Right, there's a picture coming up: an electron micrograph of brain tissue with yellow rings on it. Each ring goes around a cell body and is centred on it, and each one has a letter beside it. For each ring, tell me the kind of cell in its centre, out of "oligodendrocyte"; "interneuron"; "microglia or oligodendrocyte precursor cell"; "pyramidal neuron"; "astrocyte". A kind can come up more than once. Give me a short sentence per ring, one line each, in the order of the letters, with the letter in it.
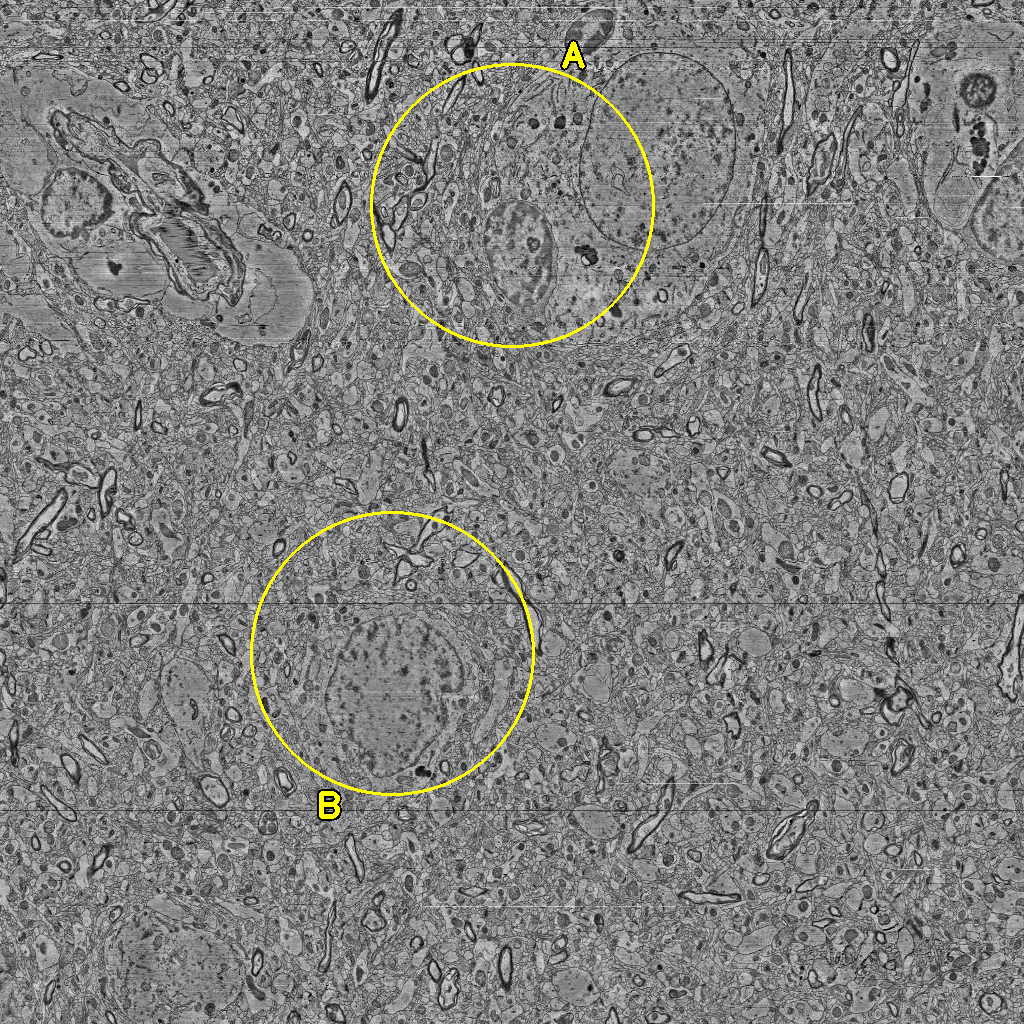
That's an oligodendrocyte in ring A.
That's an interneuron in ring B.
